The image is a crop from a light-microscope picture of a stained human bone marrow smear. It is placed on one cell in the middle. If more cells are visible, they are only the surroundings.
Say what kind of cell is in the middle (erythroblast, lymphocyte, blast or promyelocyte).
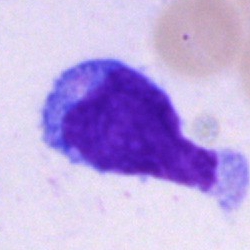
blast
